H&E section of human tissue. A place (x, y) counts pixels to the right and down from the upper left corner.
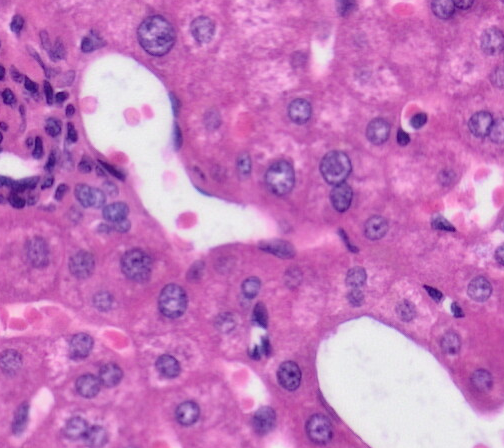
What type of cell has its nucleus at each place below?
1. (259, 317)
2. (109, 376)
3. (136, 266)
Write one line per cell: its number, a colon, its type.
1: fibroblast or stellate cell
2: hepatocyte
3: hepatocyte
